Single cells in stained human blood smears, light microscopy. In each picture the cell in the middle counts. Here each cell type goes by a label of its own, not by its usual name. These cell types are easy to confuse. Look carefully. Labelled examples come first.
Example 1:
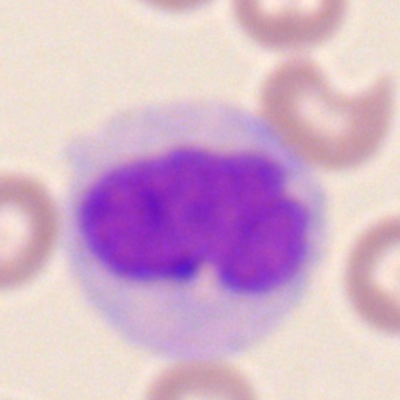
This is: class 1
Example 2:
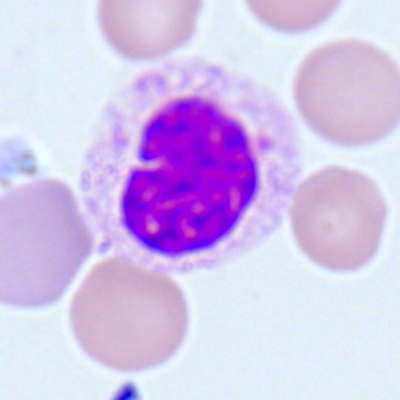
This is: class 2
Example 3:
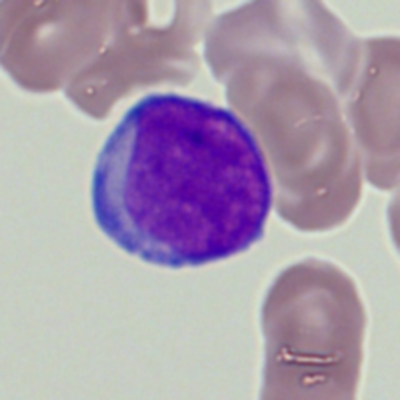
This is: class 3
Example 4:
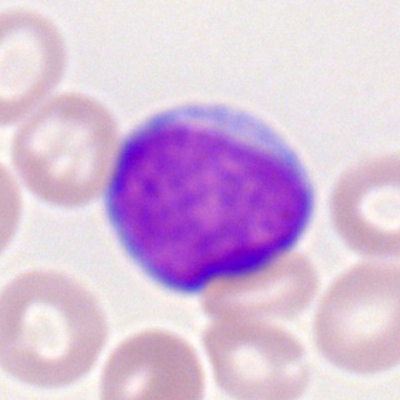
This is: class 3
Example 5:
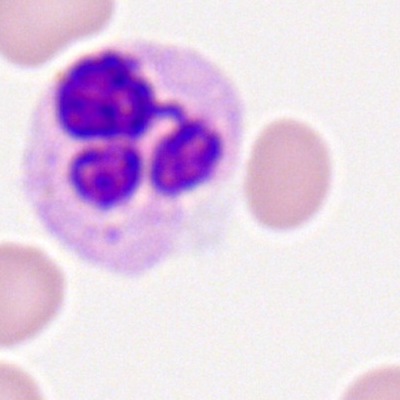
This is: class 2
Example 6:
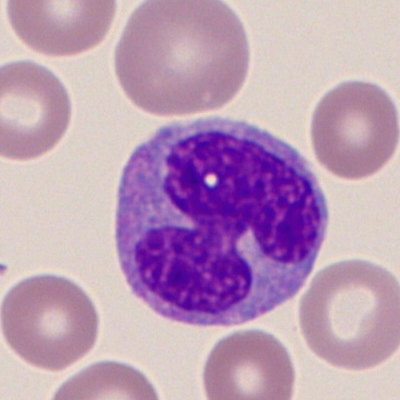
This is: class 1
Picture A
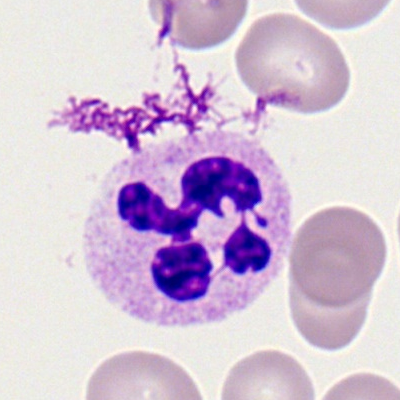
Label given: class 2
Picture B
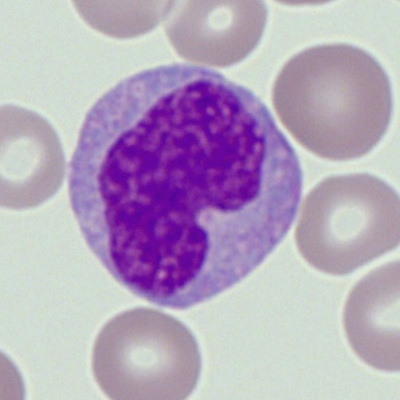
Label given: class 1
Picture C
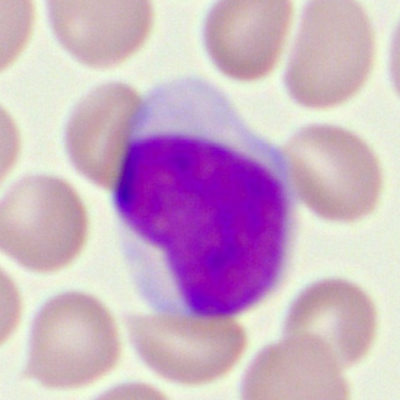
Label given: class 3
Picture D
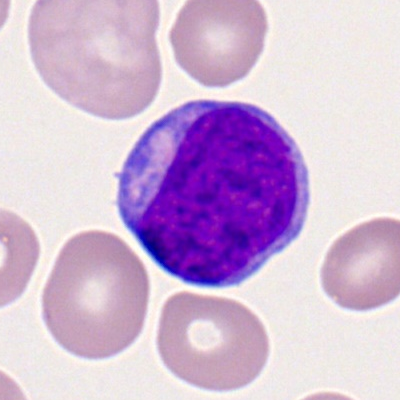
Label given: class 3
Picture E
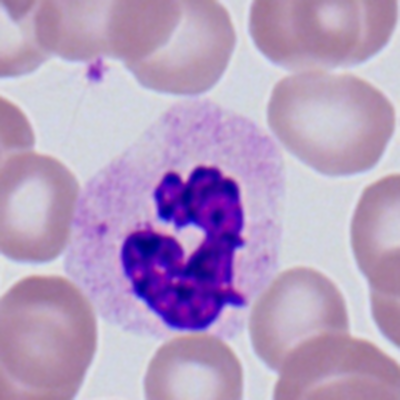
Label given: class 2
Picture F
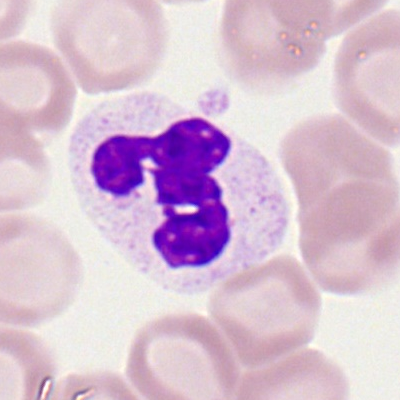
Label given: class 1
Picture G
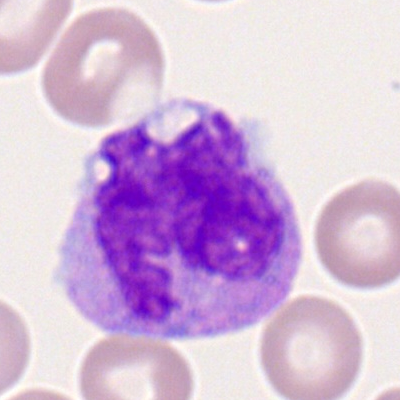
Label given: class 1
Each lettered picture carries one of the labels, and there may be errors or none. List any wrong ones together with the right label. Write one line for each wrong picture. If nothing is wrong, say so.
F should be class 2, not class 1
